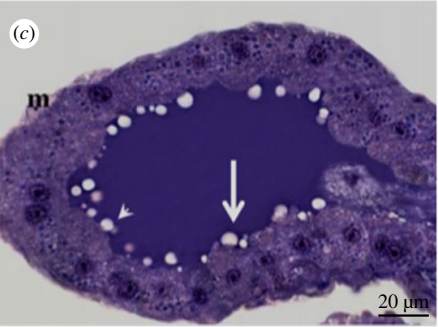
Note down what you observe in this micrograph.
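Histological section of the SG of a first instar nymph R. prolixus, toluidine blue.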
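This is a cross-section of a gland lobule, with a single layer of epithelial cells surrounding a wide, deep purple lumen. The cells are large, with round dark nuclei and finely granular lilac cytoplasm. Along the inner border facing the lumen lie many small, bright white round droplets, the secretory vesicles. On the outer surface the epithelium is bordered by a thin layer of muscle fibres.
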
